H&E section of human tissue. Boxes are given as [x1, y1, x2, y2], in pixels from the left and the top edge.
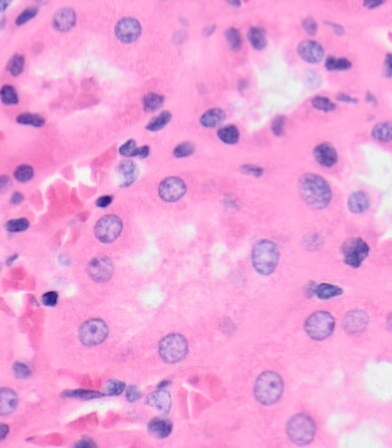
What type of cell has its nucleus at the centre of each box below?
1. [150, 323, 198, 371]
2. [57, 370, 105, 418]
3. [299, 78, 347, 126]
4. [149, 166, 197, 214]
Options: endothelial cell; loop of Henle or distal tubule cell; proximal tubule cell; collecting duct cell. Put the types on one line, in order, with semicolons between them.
proximal tubule cell; endothelial cell; loop of Henle or distal tubule cell; proximal tubule cell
